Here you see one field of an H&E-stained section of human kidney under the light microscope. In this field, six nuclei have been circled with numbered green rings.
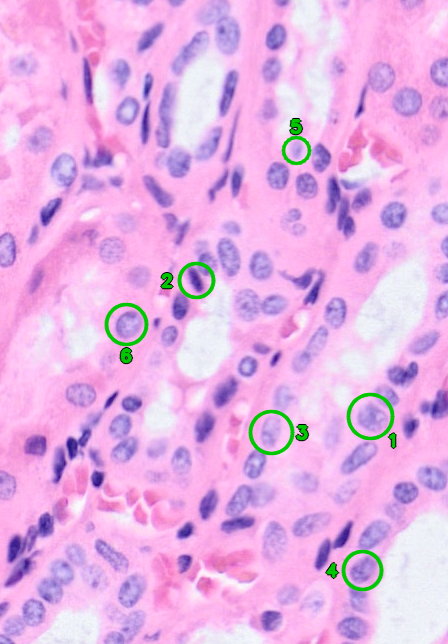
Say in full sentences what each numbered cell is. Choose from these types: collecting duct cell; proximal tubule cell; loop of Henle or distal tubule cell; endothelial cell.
Cells 1, 2, 3 and 4 are collecting duct cells. Cell 5 is a loop of Henle or distal tubule cell. Cell 6 is a proximal tubule cell.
